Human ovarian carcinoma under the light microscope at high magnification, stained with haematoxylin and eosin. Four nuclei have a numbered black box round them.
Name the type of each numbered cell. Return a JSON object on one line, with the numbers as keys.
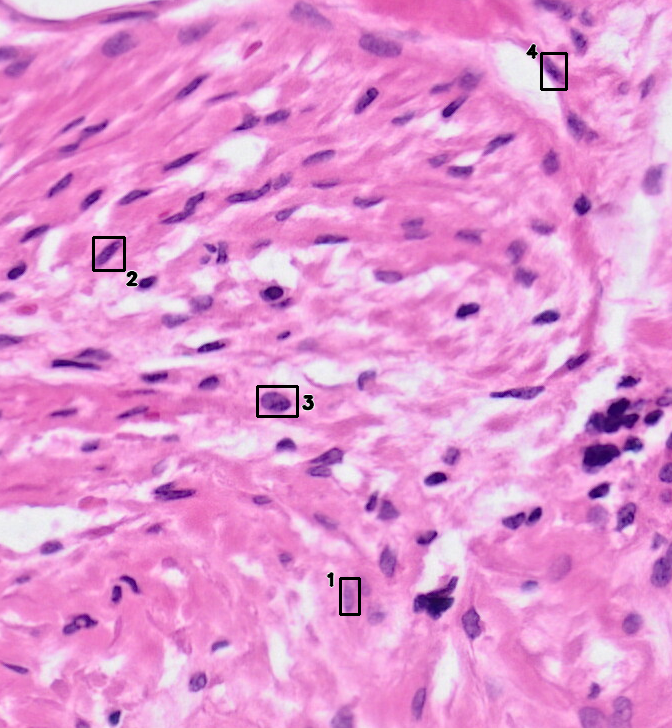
{"1": "fibroblast", "2": "fibroblast", "3": "macrophage or monocyte", "4": "fibroblast"}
